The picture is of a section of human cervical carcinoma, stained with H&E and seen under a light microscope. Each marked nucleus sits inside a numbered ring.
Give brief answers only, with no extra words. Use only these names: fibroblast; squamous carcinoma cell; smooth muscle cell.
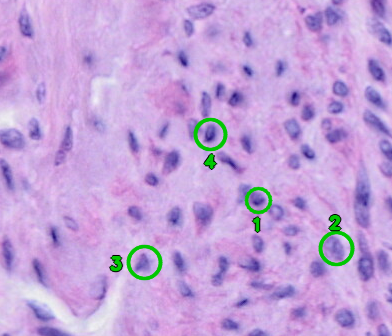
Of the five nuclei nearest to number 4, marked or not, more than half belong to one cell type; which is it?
smooth muscle cell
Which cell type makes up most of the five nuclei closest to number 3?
smooth muscle cell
